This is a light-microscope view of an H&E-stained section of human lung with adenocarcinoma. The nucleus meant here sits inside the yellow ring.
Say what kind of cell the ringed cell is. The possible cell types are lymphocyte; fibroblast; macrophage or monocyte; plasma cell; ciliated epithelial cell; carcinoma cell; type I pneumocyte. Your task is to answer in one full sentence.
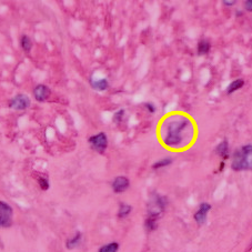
Placed in its cell category, the ringed cell is a fibroblast.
